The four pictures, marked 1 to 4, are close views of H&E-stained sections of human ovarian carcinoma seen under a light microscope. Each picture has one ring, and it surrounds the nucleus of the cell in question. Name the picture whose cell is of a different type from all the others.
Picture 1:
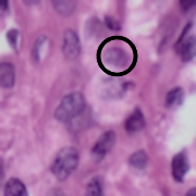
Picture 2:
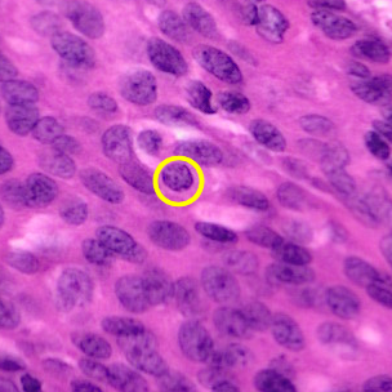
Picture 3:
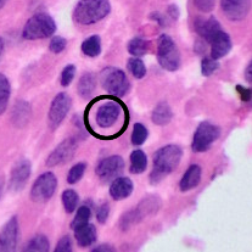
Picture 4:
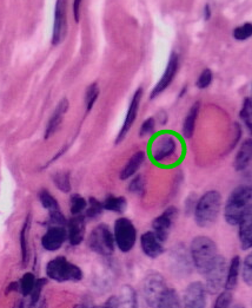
4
